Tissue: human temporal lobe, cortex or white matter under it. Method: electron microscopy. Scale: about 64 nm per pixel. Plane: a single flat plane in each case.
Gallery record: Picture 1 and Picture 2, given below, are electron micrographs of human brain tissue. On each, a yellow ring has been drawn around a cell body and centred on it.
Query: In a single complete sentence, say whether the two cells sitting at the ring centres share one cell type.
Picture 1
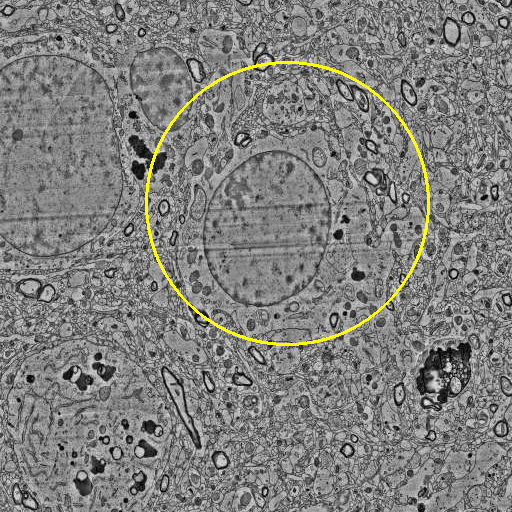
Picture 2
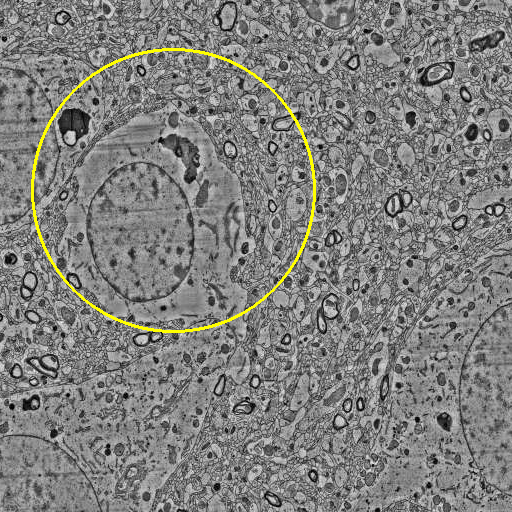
Yes, in both pictures the cell at the ring's centre is of one and the same type.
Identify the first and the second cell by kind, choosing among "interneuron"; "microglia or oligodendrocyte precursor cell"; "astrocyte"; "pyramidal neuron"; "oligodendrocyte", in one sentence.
Each one of the two ringed cells is an astrocyte.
